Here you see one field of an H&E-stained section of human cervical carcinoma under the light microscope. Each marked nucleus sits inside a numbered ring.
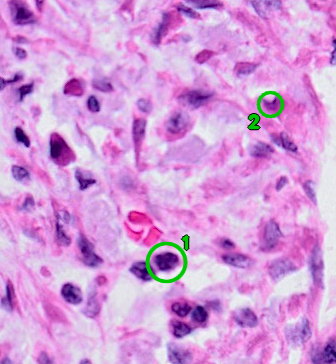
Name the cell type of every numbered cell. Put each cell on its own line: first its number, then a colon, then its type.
1: lymphocyte
2: fibroblast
